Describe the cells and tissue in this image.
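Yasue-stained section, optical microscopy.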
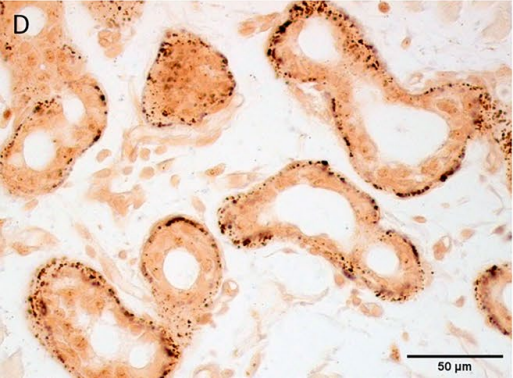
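This section shows sweat gland tubules cut in cross and oblique section, lying in loose connective tissue. Fine black granules are concentrated along the outer margin of the tubules, where the basal lamina lies, forming a dotted rim. One tubule cut tangentially appears solid and is filled with granular dark-brown staining. Between the tubules the connective tissue is pale, with scattered small nuclei.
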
